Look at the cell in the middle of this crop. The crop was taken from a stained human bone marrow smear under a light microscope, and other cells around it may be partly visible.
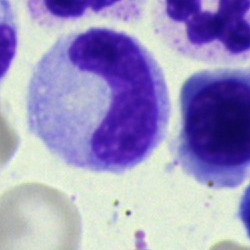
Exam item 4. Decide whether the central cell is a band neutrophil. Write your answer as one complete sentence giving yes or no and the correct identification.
Yes, the middle cell of the field is a band neutrophil.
